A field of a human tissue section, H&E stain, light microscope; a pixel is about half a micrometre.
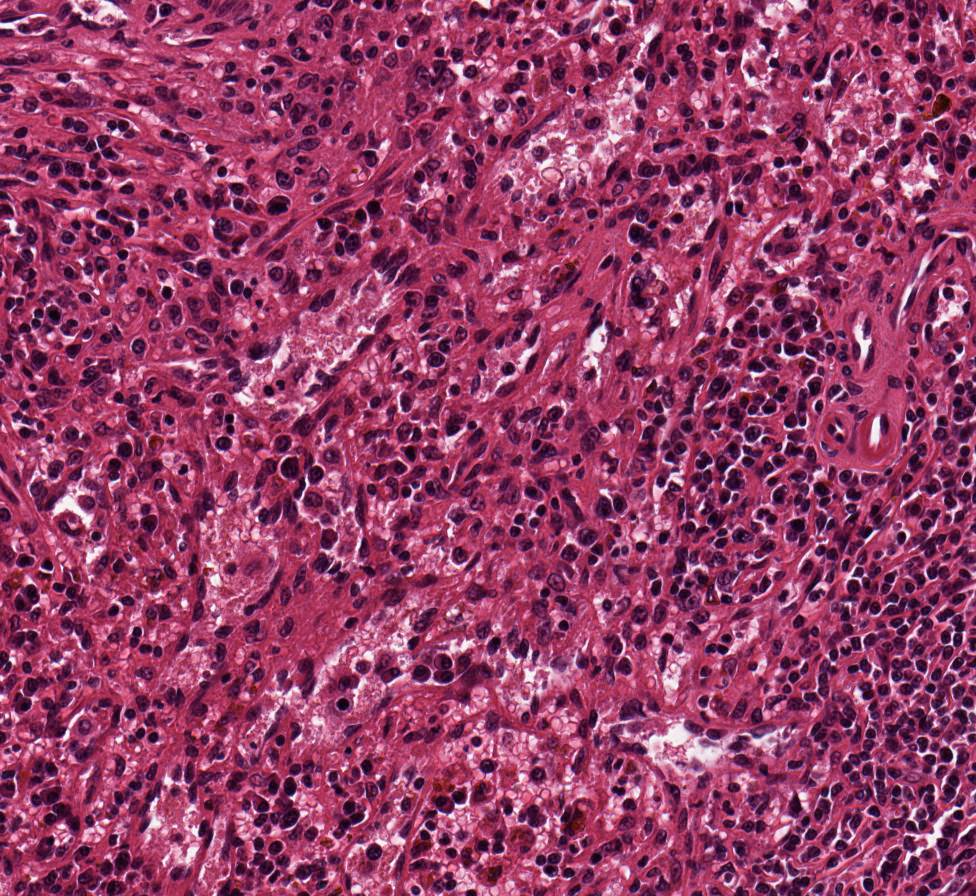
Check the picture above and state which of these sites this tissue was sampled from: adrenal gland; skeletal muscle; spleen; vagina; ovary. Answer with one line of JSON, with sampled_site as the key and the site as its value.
{"sampled_site": "spleen"}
